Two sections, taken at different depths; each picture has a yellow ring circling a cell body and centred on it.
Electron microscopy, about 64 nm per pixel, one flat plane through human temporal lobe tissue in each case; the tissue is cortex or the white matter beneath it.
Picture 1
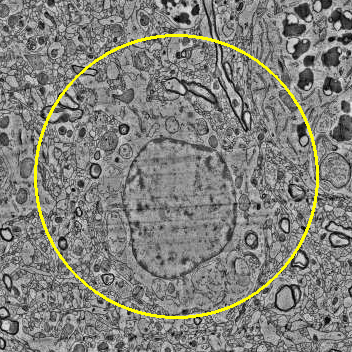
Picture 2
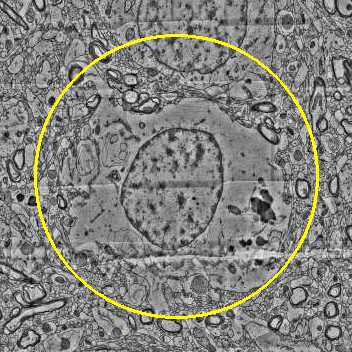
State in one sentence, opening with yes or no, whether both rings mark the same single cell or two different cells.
No, the rings single out two cells that are separate from each other.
